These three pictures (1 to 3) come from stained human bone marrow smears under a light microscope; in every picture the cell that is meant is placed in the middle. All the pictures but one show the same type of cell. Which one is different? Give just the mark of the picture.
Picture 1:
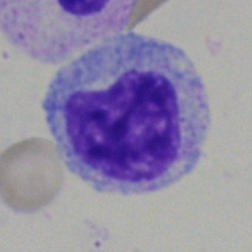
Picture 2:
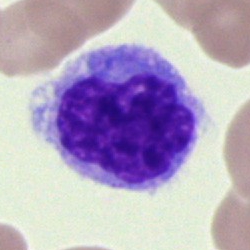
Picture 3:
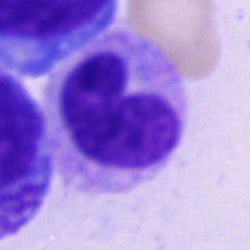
2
